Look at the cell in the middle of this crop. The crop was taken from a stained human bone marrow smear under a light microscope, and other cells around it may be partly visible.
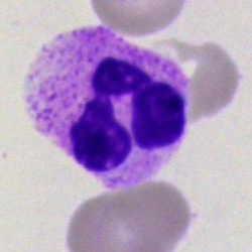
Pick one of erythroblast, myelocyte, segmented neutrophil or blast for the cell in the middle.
segmented neutrophil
